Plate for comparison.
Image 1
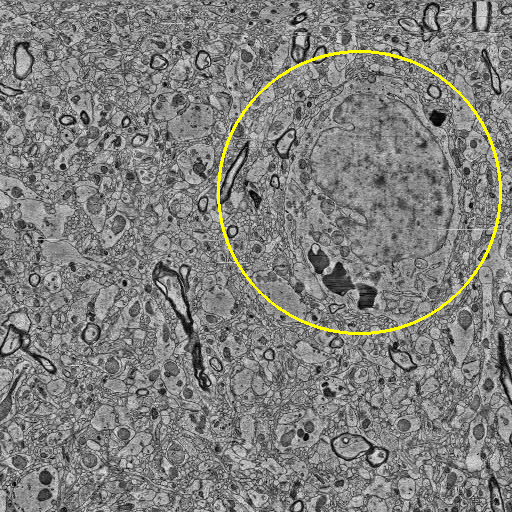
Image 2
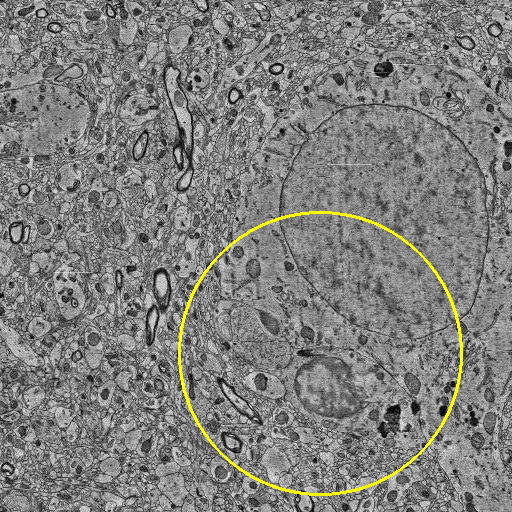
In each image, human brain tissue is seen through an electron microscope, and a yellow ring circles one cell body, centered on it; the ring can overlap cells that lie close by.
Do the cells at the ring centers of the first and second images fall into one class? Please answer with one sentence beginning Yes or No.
No, the first and second images show two classes of cell at the ring centers.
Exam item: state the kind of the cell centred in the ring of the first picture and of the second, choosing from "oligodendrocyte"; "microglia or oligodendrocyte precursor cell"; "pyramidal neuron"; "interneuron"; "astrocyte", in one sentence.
The first picture shows an interneuron at the ring centre and the second shows an oligodendrocyte.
